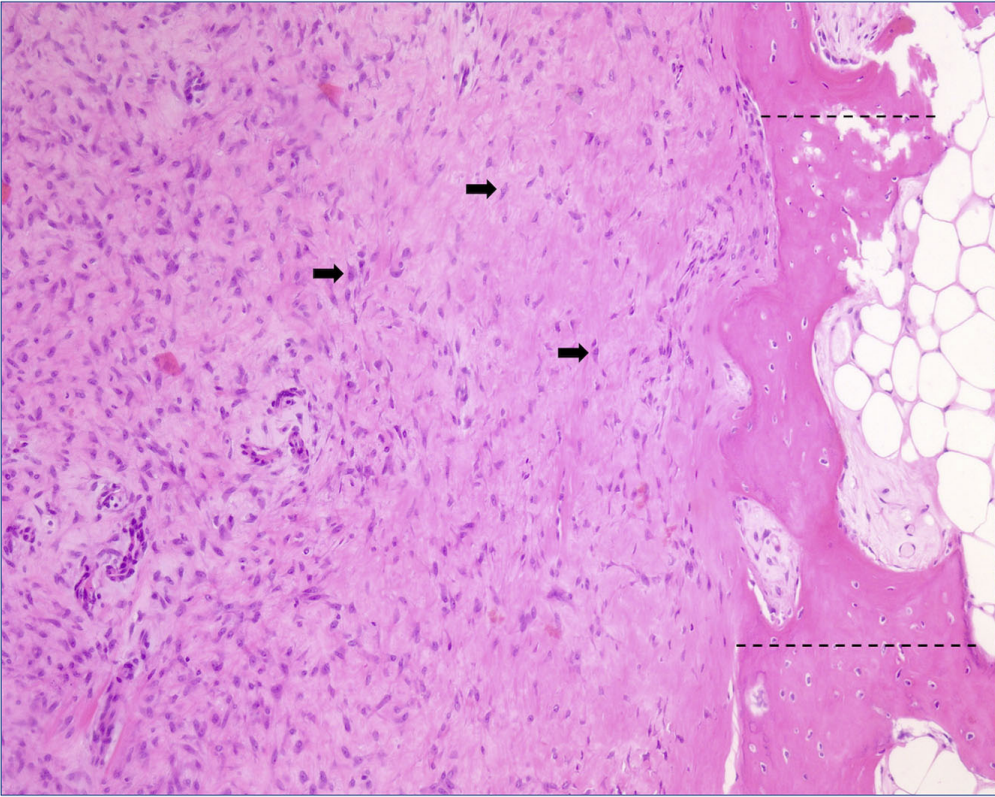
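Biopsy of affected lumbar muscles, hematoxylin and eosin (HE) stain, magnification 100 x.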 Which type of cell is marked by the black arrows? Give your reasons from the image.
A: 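Spindle-shaped cells with elongated nuclei are set densely in a pink collagenous matrix. That points to this answer: fibroblasts.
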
